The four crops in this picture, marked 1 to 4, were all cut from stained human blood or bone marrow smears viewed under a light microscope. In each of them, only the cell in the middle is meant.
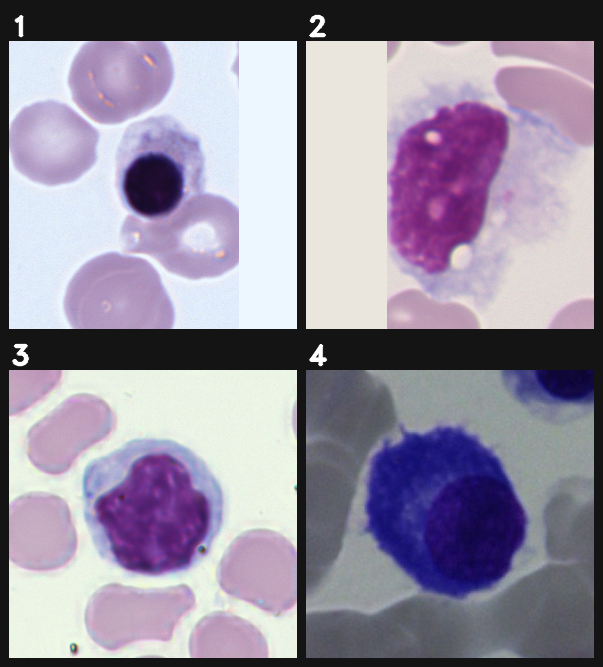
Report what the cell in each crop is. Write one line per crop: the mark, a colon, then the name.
1: erythroblast
2: hairy cell
3: plasma cell
4: plasma cell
